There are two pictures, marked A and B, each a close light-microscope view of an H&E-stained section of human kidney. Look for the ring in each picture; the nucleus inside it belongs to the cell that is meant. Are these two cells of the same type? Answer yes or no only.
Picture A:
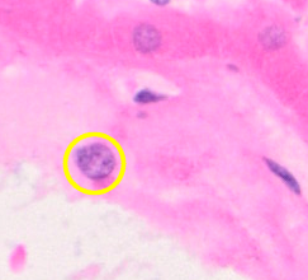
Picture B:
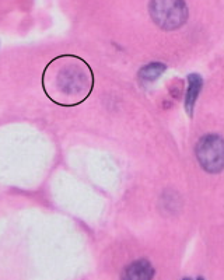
yes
